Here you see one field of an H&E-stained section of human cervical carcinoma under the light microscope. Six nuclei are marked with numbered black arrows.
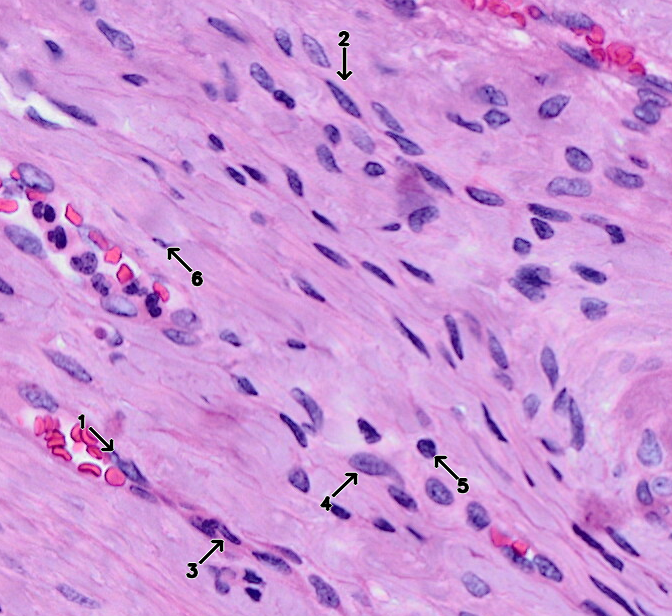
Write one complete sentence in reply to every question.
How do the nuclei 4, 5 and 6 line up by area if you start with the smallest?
From smallest to largest, the order is 6, 5, 4.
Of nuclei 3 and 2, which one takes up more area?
It is nucleus 2, which covers about 2.5 times the area of nucleus 3.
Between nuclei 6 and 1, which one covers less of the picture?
The smaller nucleus is 6, and 1 covers roughly 4 times its area.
